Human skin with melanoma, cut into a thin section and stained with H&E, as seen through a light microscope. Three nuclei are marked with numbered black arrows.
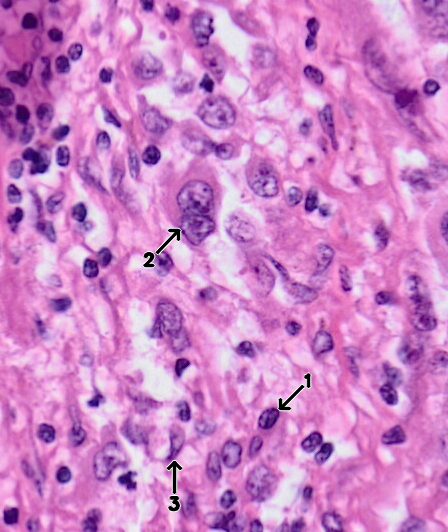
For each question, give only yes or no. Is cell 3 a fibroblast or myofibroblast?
yes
